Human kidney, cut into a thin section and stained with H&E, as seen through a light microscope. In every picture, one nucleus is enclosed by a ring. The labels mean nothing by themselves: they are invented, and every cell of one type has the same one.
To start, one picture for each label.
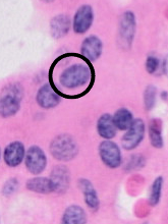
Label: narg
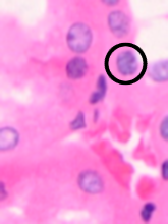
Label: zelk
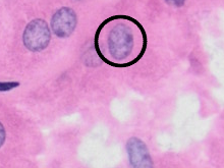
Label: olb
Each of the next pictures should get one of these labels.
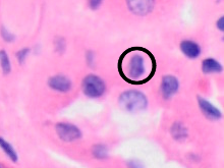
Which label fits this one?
zelk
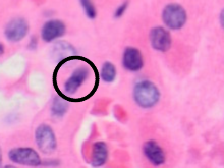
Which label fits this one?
narg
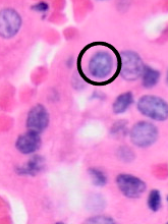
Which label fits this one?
narg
